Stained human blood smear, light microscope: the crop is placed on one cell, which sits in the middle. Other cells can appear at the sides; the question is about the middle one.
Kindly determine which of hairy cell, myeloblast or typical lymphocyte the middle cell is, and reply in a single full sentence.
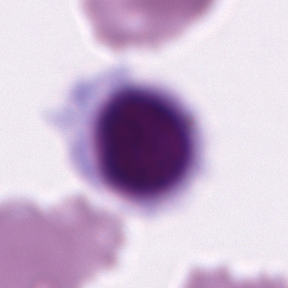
By classification, the middle cell of this crop is a hairy cell.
